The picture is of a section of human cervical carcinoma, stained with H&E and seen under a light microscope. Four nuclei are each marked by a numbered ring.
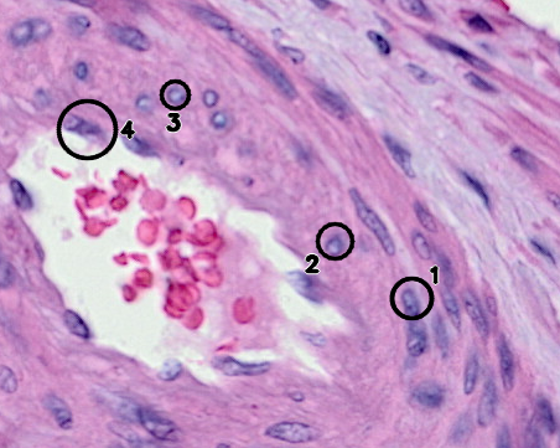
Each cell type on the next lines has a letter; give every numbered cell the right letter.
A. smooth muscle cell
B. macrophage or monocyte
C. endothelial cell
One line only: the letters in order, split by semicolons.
A; A; A; C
